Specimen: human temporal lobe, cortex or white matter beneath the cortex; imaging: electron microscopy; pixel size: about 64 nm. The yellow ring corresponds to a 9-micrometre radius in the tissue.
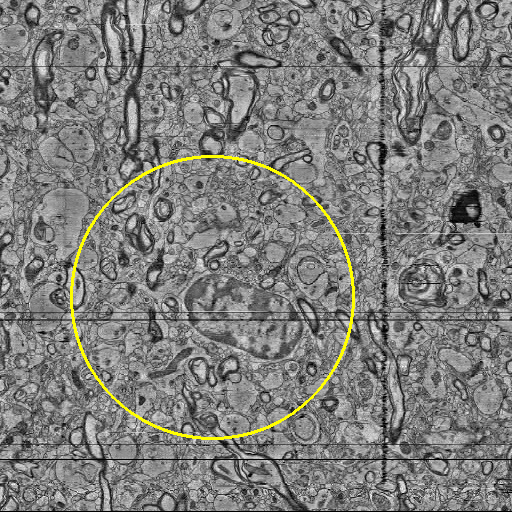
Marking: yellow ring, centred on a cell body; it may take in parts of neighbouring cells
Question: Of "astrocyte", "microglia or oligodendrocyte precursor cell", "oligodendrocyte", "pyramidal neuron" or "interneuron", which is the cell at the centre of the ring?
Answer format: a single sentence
The ring surrounds the body of a microglial cell or oligodendrocyte precursor cell.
